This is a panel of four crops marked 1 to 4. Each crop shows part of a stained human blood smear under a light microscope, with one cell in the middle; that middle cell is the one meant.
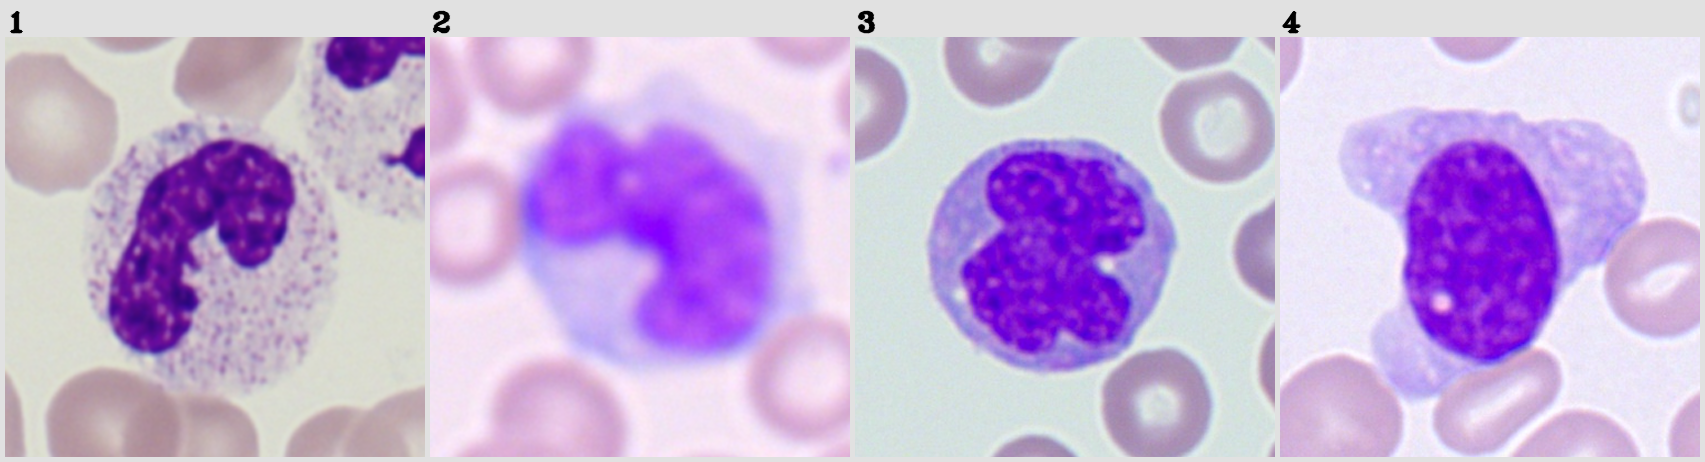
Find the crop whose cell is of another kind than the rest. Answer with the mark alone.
1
